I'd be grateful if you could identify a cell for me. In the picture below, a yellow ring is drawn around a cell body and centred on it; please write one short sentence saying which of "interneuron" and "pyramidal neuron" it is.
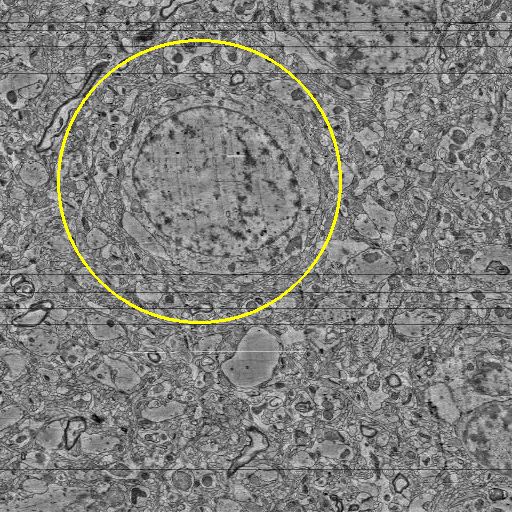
The cell under the ring's centre is a pyramidal neuron.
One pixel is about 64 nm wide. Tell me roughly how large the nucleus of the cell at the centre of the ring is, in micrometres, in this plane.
About 10 micrometers across, in this plane.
